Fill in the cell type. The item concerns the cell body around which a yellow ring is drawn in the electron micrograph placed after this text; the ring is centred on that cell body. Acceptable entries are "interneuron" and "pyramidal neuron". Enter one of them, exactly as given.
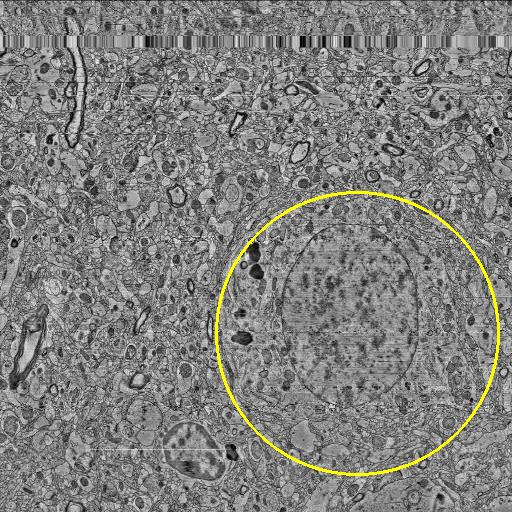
interneuron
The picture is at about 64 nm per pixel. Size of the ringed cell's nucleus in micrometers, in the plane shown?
About 12 by 9 micrometres in this plane.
